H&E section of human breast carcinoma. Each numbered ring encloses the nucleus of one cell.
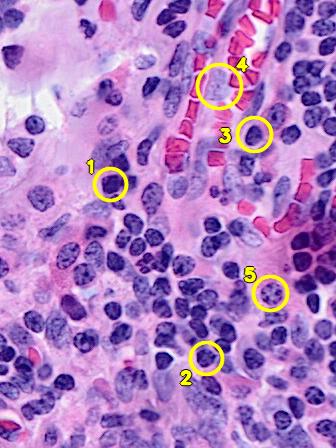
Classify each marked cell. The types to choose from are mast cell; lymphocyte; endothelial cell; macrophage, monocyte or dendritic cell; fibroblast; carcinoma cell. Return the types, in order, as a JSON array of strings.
["lymphocyte", "lymphocyte", "lymphocyte", "endothelial cell", "mast cell"]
